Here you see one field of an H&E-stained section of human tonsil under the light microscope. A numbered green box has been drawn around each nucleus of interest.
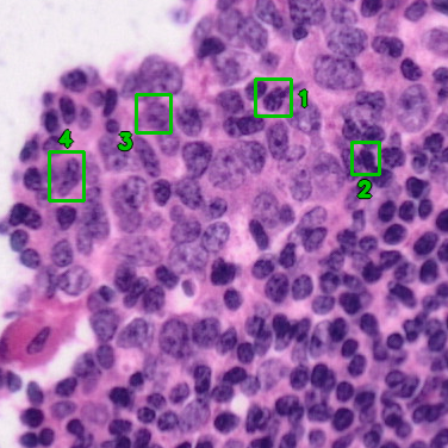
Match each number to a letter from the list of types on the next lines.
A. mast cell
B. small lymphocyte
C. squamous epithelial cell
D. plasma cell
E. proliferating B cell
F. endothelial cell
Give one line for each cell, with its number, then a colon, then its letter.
1: E
2: B
3: E
4: E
